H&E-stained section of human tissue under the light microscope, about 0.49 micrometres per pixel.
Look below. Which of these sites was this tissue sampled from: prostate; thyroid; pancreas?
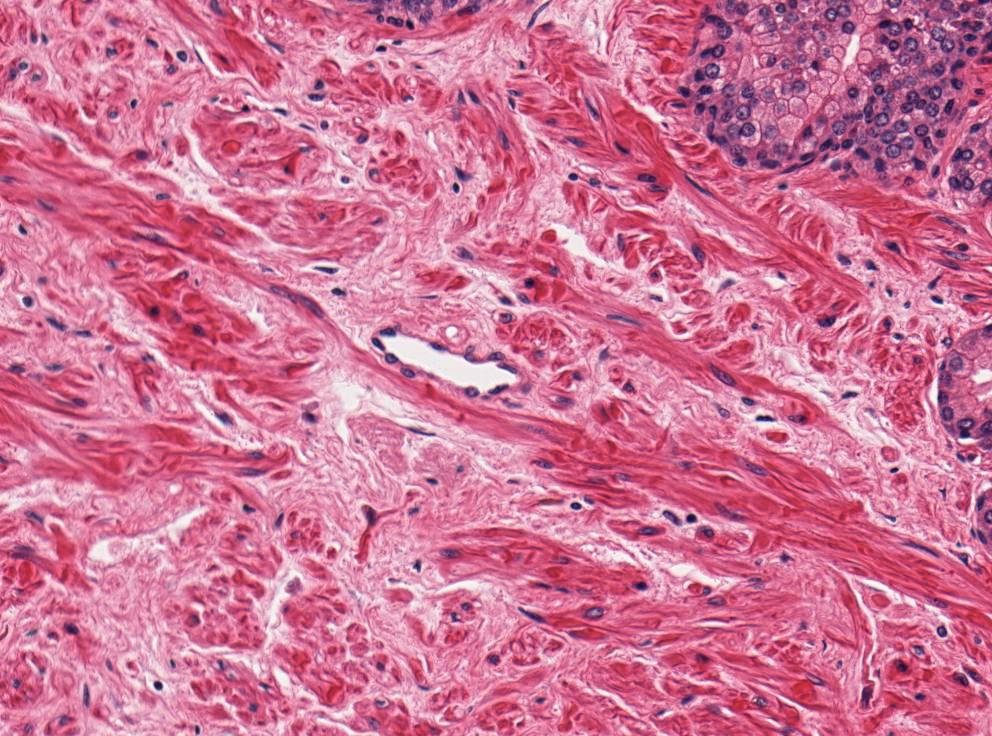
prostate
